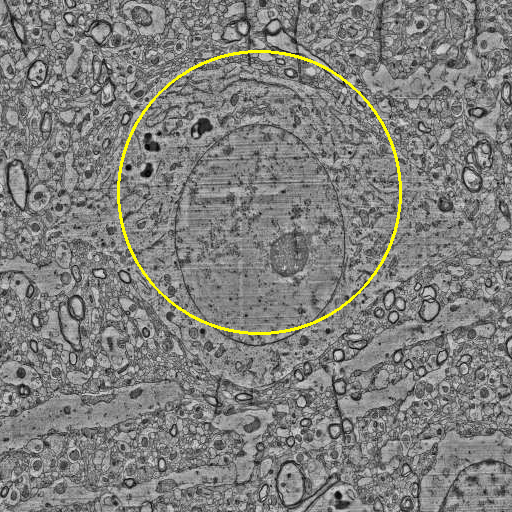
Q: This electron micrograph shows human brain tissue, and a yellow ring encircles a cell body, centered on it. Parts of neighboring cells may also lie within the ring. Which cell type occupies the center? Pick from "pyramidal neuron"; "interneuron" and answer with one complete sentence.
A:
What sits at the ring's center in this micrograph is a pyramidal neuron, among those choices.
